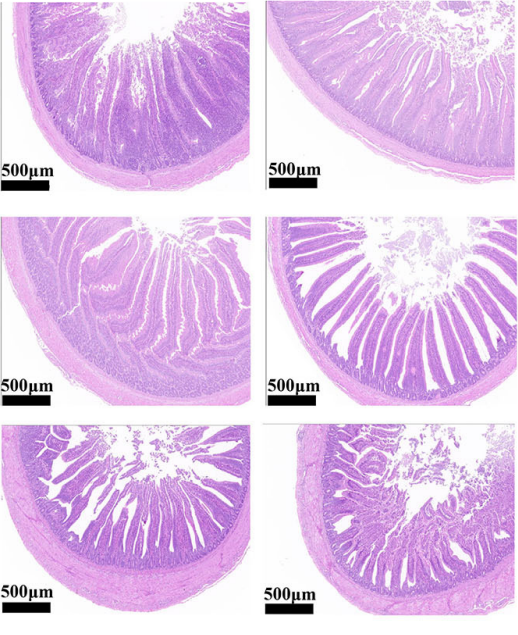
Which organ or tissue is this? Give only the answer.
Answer: Small intestine.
